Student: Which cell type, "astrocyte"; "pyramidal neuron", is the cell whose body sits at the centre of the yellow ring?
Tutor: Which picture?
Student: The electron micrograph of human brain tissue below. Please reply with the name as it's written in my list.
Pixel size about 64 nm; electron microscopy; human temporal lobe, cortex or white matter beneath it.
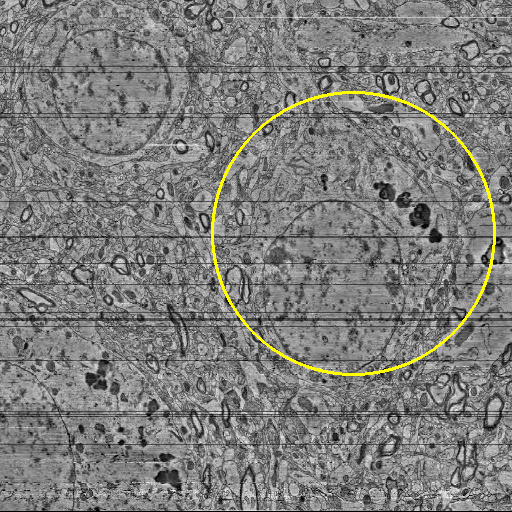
pyramidal neuron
